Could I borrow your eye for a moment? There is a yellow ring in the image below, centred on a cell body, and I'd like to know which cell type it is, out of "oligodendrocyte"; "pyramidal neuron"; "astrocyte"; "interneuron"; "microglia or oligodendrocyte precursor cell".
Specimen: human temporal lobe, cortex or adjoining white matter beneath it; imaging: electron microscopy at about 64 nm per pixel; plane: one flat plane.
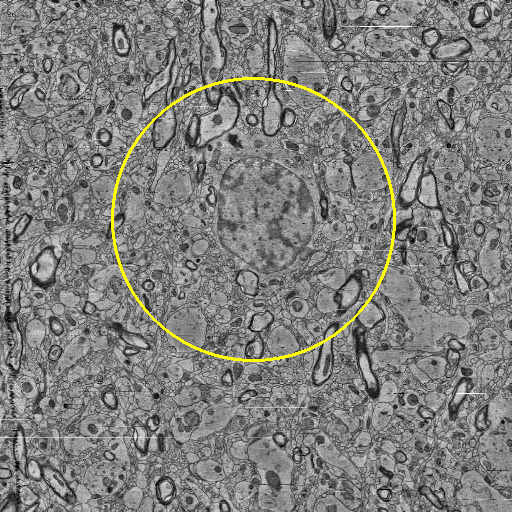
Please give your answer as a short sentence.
The cell body at the centre is that of an oligodendrocyte.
